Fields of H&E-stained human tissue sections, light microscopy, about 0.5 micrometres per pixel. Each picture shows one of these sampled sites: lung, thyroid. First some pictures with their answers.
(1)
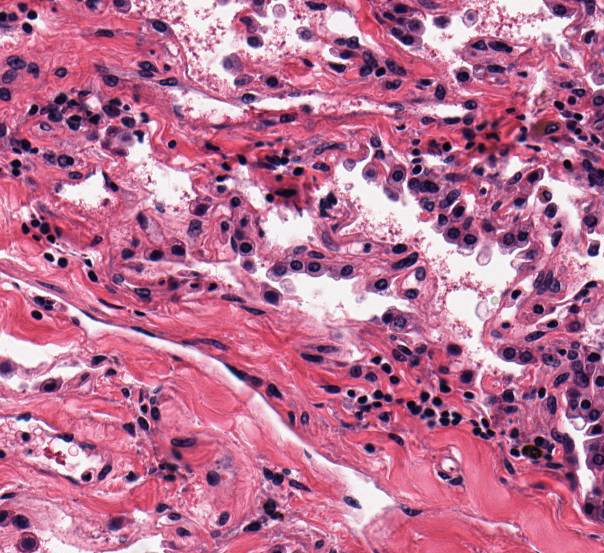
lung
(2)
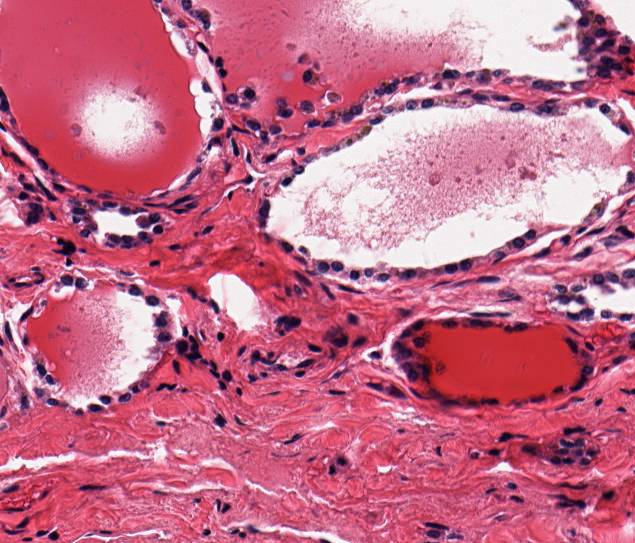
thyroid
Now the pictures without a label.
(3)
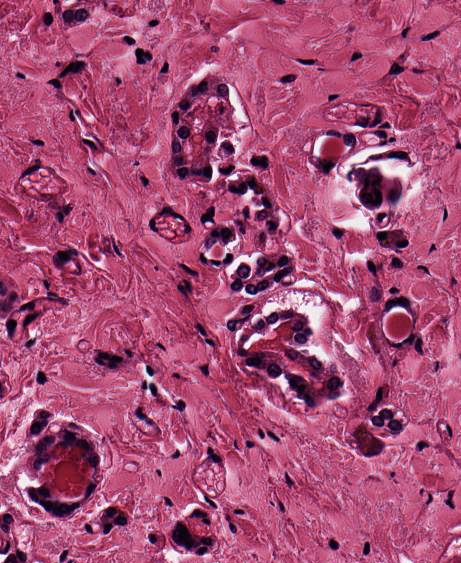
thyroid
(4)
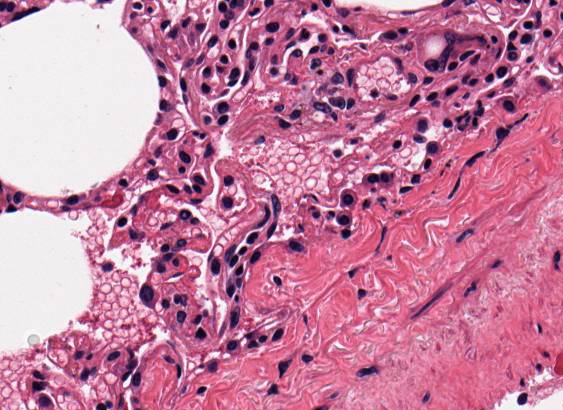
lung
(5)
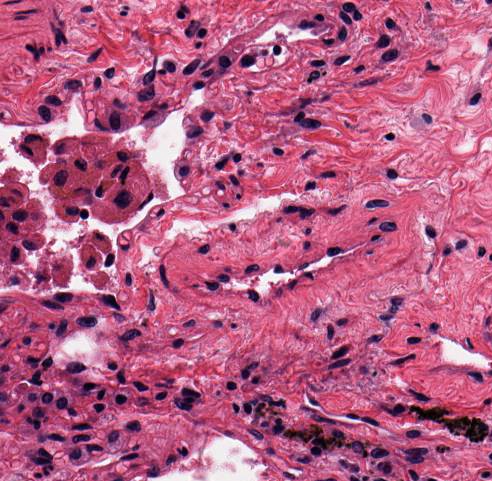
lung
